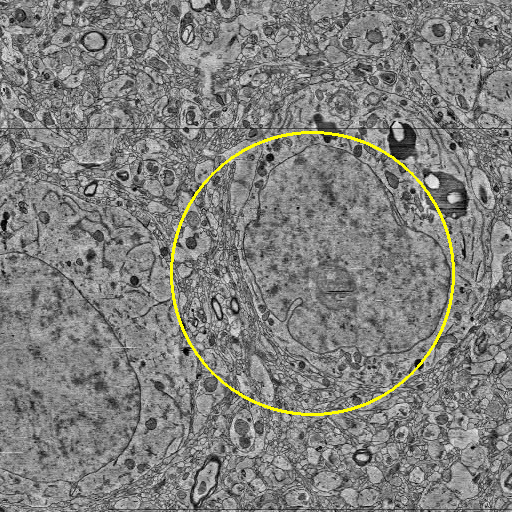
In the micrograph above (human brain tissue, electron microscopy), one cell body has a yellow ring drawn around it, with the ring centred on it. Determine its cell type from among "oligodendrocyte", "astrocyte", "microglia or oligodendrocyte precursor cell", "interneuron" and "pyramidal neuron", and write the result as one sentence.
The cell whose body is ringed is an interneuron.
